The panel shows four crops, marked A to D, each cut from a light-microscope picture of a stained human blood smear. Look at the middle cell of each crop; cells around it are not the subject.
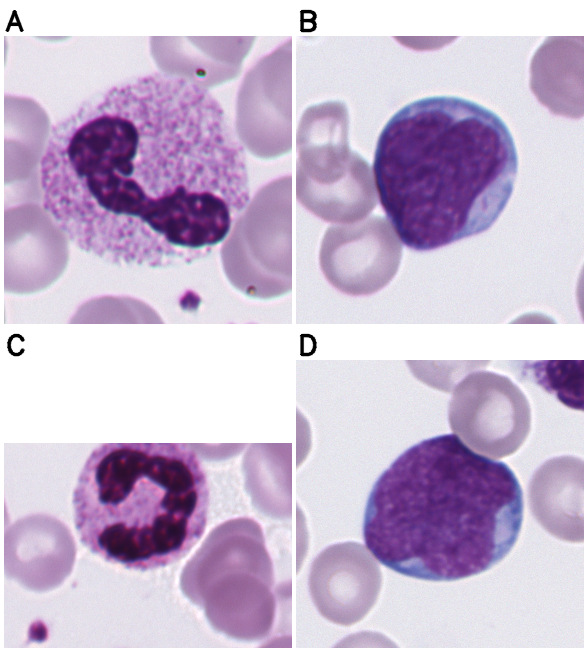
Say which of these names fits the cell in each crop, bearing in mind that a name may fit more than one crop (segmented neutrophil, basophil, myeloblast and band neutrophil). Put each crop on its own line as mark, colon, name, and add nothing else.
A: segmented neutrophil
B: myeloblast
C: segmented neutrophil
D: myeloblast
